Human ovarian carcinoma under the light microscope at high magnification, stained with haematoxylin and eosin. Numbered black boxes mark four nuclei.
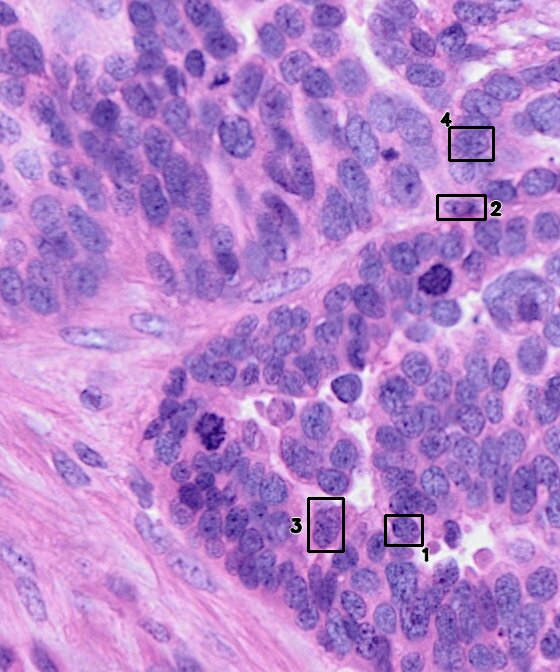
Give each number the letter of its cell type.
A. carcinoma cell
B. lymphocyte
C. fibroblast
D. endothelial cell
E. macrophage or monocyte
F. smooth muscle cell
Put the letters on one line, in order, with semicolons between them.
A; E; A; A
